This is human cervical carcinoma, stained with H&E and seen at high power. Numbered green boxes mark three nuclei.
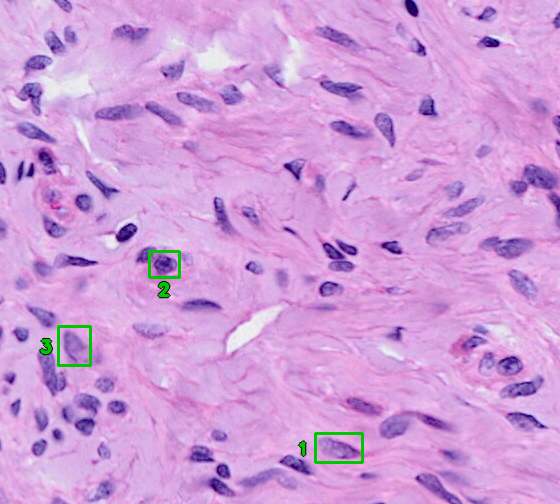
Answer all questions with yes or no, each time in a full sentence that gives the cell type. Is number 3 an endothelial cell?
No, number 3 marks a fibroblast rather than an endothelial cell.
